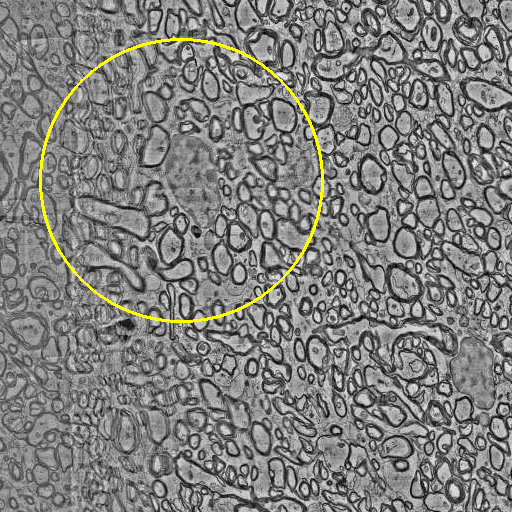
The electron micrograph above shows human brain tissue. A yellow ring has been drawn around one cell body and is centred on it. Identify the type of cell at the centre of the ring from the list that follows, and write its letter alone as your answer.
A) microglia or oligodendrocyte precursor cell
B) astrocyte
A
